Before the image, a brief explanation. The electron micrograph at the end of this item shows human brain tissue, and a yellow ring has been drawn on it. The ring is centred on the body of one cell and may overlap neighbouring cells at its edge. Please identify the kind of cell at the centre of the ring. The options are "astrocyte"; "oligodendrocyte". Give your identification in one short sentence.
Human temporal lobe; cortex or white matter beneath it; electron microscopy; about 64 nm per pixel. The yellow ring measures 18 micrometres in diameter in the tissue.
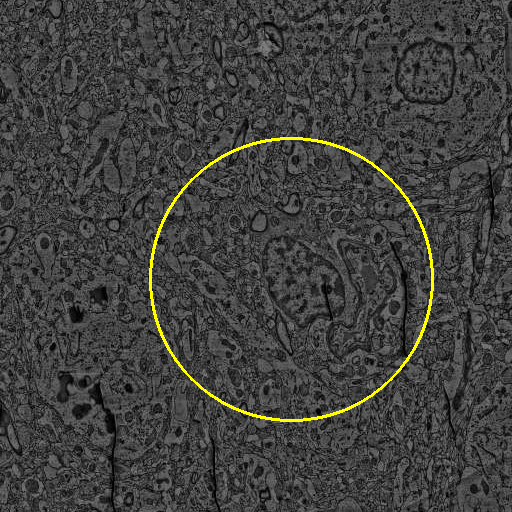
The ring has been placed around an oligodendrocyte.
